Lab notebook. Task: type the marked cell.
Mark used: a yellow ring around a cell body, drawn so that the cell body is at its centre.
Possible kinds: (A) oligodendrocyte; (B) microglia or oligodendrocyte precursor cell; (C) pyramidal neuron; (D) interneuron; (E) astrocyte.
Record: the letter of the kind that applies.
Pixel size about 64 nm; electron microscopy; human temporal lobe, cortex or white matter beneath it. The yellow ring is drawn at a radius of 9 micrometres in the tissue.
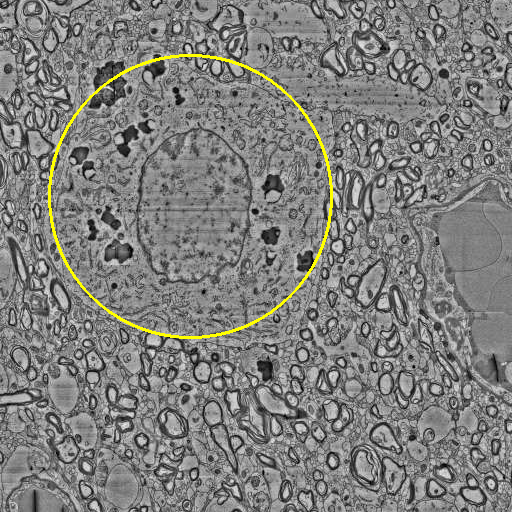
C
